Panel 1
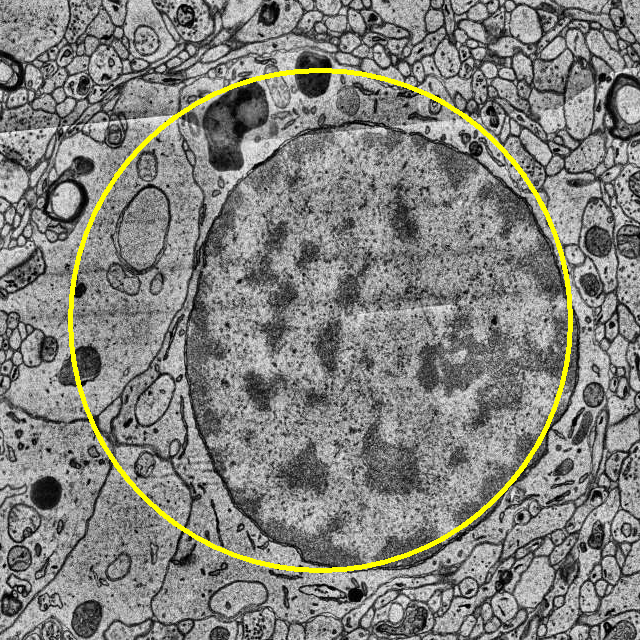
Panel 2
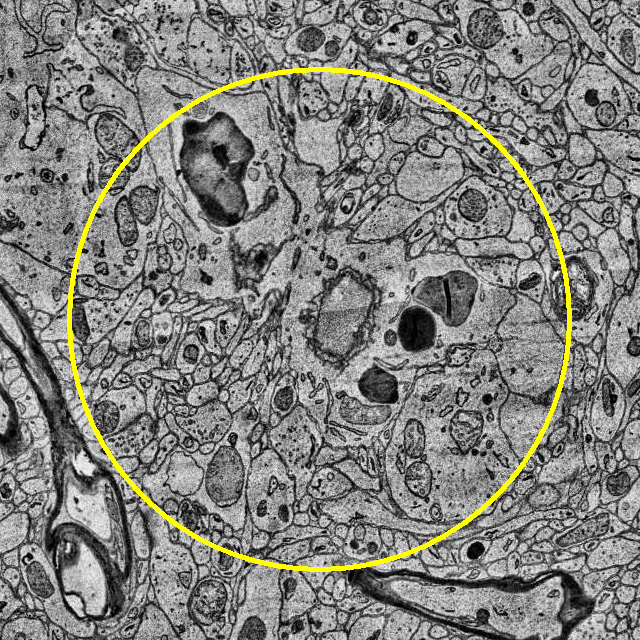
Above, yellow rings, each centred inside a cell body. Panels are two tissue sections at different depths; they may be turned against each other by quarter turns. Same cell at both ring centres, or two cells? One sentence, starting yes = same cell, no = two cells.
No, the two rings refer to two distinct cells.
